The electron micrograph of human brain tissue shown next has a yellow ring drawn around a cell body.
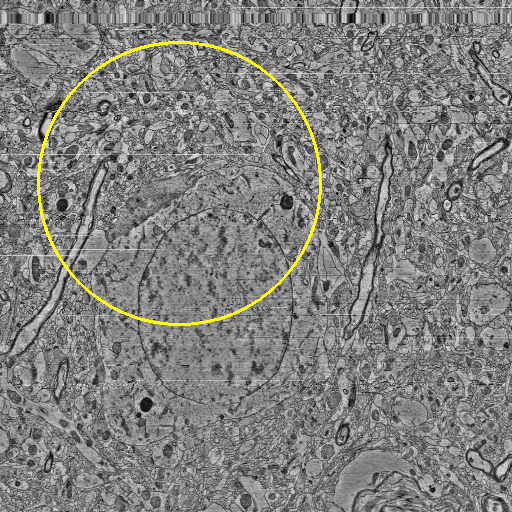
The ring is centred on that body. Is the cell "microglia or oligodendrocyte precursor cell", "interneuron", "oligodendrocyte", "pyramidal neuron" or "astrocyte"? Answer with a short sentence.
The cell in question is an oligodendrocyte.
